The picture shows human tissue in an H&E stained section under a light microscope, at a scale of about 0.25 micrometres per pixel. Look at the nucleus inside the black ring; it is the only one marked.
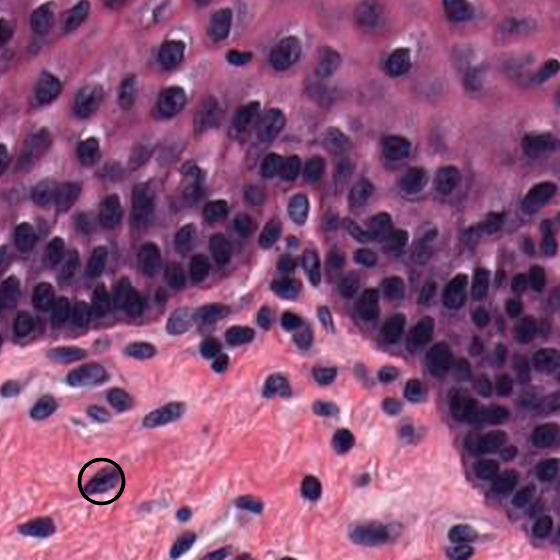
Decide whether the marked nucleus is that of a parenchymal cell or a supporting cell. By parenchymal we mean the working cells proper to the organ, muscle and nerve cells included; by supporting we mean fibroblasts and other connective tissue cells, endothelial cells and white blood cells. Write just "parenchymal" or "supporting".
supporting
